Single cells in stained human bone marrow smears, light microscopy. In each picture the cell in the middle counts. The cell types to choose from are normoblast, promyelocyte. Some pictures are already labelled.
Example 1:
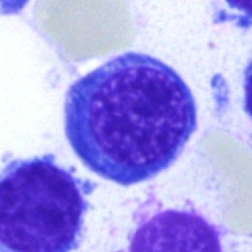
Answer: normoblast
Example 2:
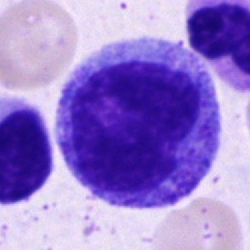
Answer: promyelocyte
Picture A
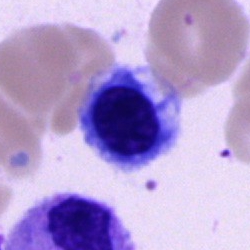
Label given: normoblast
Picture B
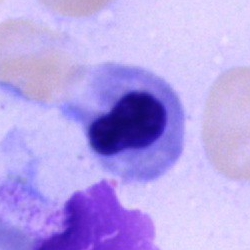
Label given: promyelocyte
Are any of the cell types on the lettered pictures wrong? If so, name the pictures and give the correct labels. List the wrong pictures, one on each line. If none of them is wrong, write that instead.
B: change promyelocyte to normoblast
